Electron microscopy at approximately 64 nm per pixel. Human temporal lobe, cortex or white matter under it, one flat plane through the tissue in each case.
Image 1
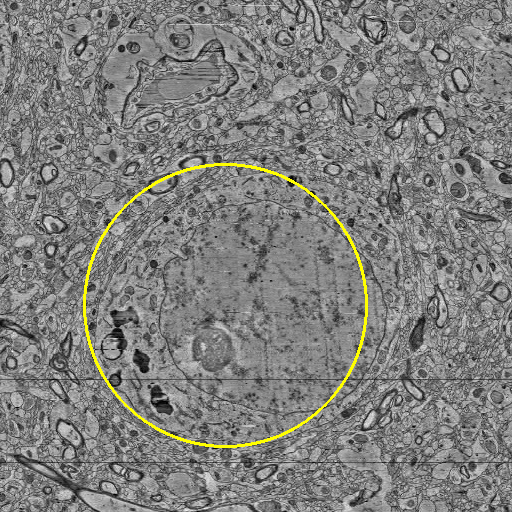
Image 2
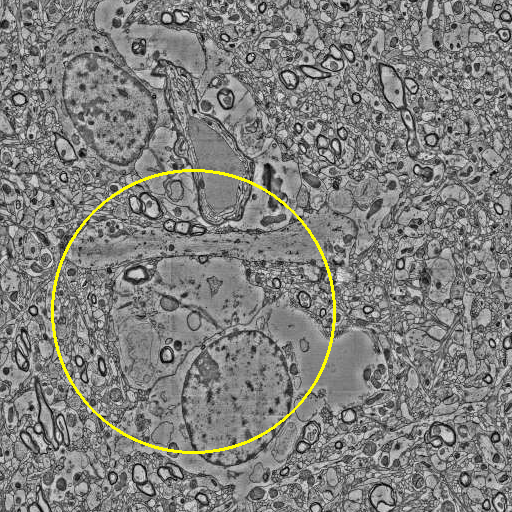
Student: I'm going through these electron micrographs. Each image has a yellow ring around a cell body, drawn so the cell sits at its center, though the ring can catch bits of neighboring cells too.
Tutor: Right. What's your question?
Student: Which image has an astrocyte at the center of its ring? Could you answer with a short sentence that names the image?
Image 2 shows it at the center of its ring.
